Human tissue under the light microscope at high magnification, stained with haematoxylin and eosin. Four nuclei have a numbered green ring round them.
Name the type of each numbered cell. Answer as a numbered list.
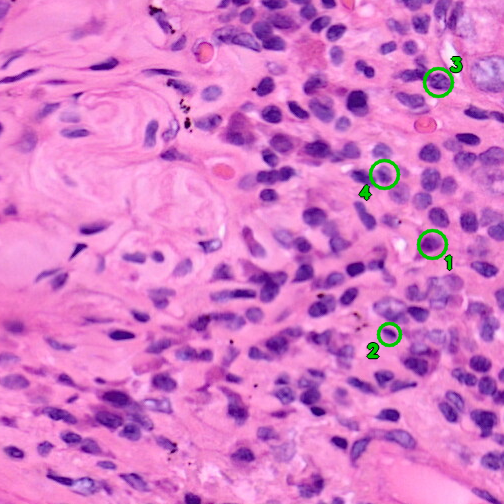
1. plasma cell
2. lymphocyte
3. lymphocyte
4. lymphocyte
